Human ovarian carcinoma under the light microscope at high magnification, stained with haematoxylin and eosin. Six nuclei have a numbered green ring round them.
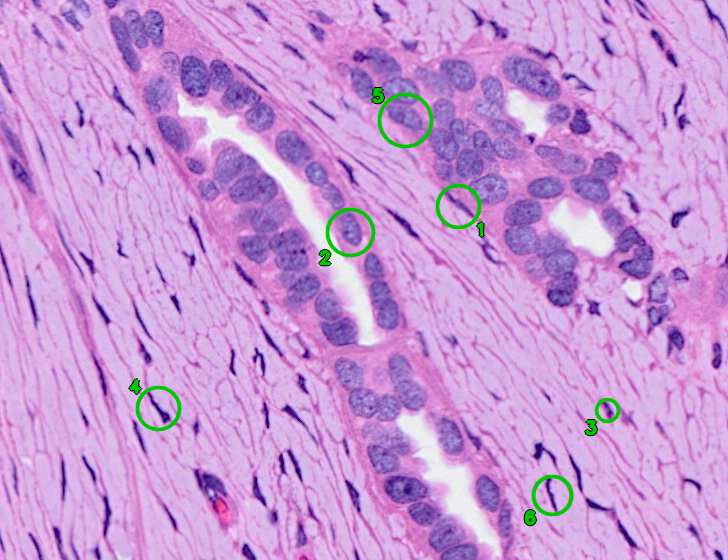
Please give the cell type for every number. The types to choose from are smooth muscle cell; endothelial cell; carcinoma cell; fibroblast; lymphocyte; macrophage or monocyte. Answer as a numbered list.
1. fibroblast
2. carcinoma cell
3. fibroblast
4. fibroblast
5. carcinoma cell
6. fibroblast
